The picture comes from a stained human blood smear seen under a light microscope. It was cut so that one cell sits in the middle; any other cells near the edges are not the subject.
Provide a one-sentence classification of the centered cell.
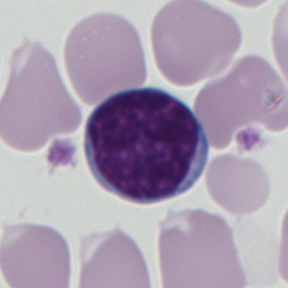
In this smear crop, the middle cell is a lymphocyte.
